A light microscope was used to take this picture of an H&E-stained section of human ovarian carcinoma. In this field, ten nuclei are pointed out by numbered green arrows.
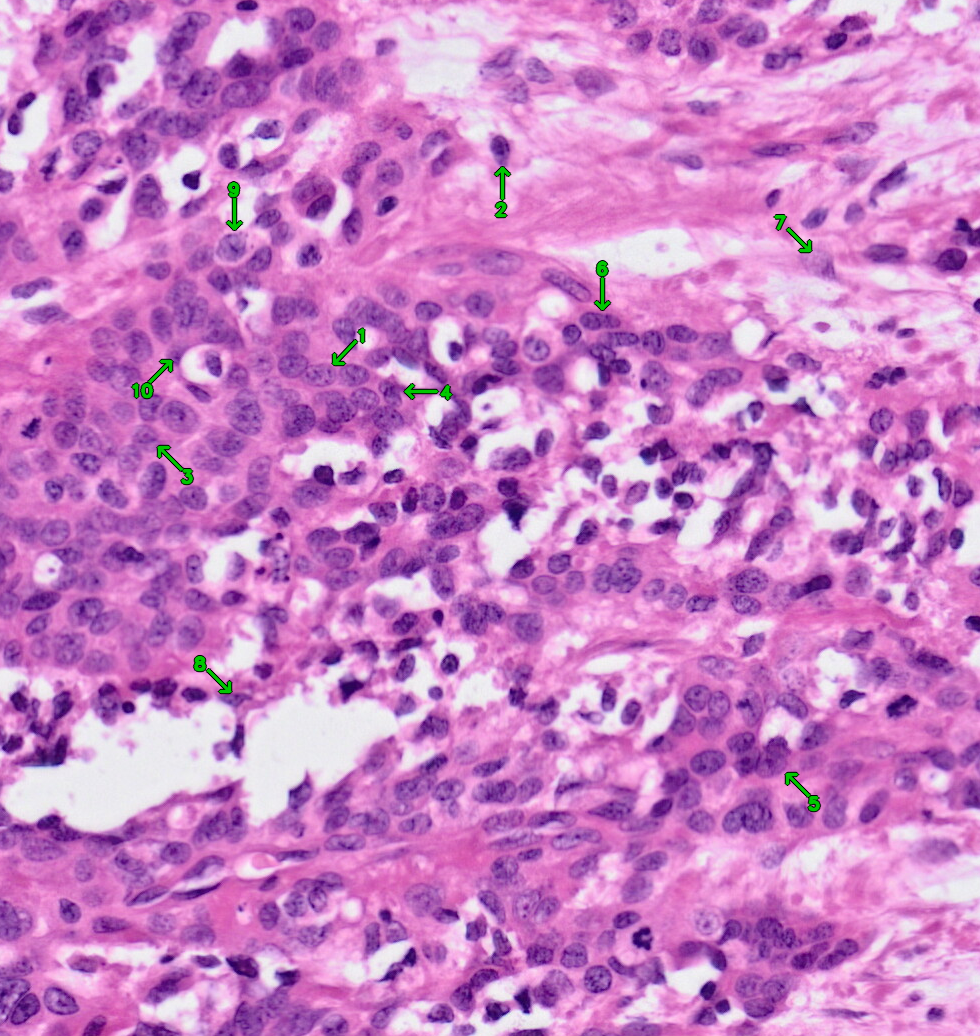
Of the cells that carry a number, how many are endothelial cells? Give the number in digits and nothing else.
0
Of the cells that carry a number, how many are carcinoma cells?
6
